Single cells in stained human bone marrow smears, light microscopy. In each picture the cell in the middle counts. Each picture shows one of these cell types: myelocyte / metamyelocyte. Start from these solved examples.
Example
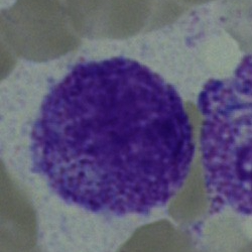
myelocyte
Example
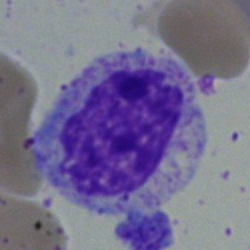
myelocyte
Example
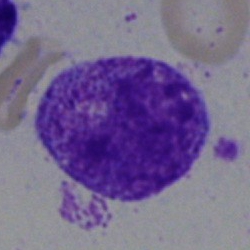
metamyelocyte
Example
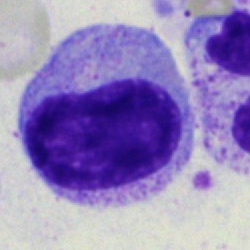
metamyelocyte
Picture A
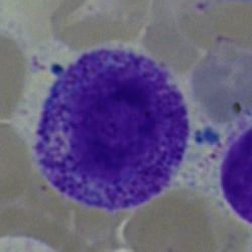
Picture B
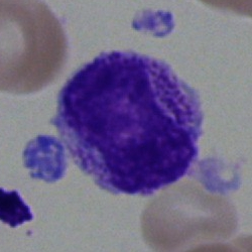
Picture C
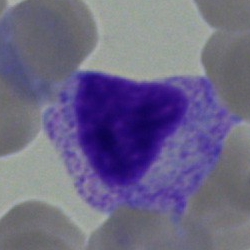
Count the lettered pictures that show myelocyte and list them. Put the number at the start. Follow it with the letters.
2, namely A, C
